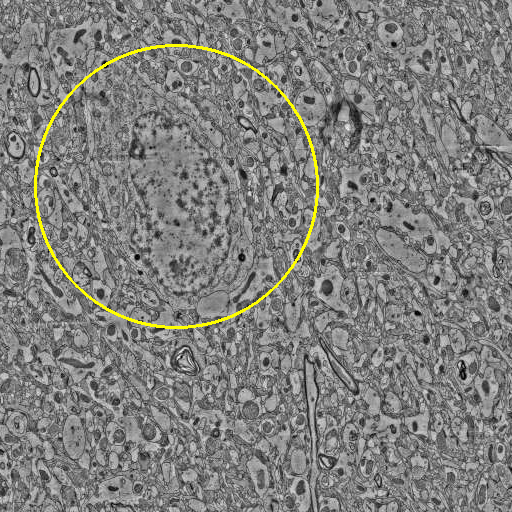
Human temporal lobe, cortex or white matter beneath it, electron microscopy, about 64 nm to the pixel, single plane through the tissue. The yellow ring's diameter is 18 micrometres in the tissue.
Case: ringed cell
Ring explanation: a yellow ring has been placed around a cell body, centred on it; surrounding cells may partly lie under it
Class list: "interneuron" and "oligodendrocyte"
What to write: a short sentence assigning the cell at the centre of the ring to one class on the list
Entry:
The cell at the ring's centre is an interneuron.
